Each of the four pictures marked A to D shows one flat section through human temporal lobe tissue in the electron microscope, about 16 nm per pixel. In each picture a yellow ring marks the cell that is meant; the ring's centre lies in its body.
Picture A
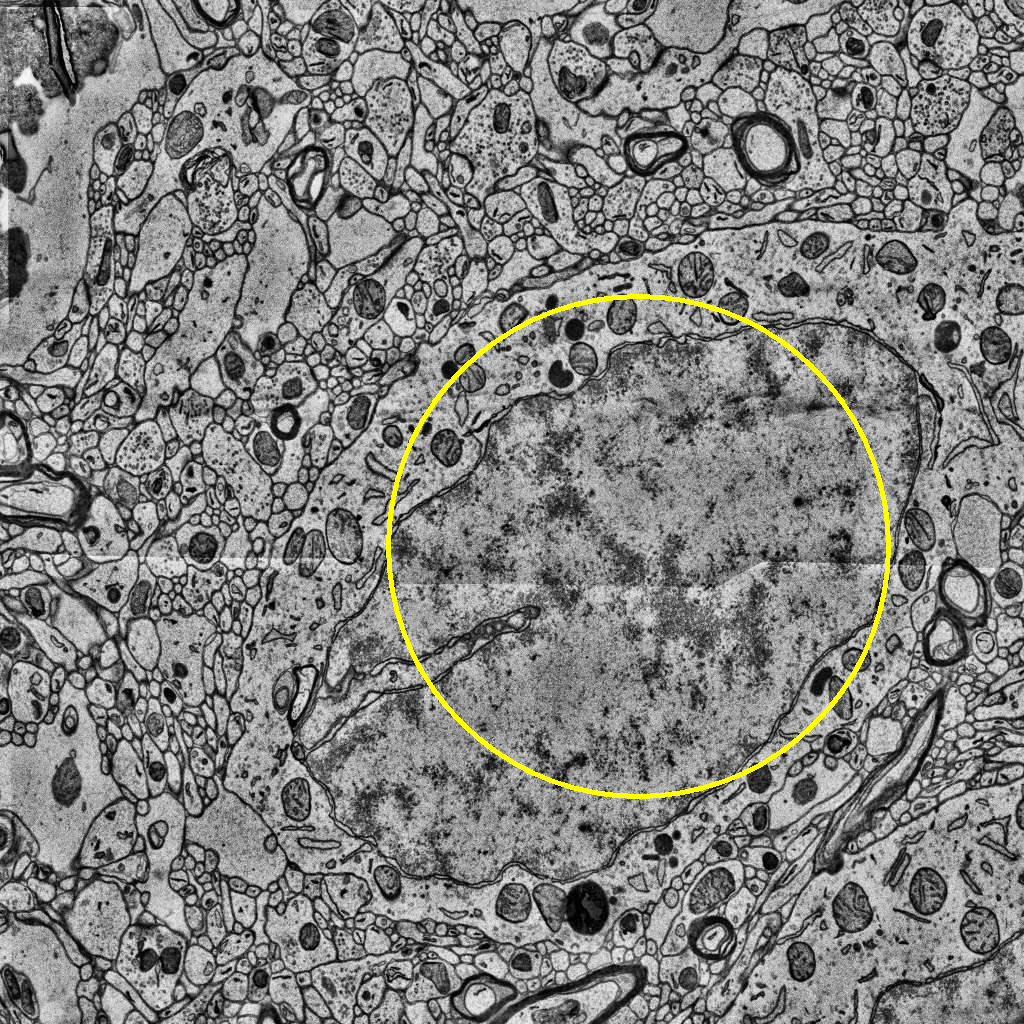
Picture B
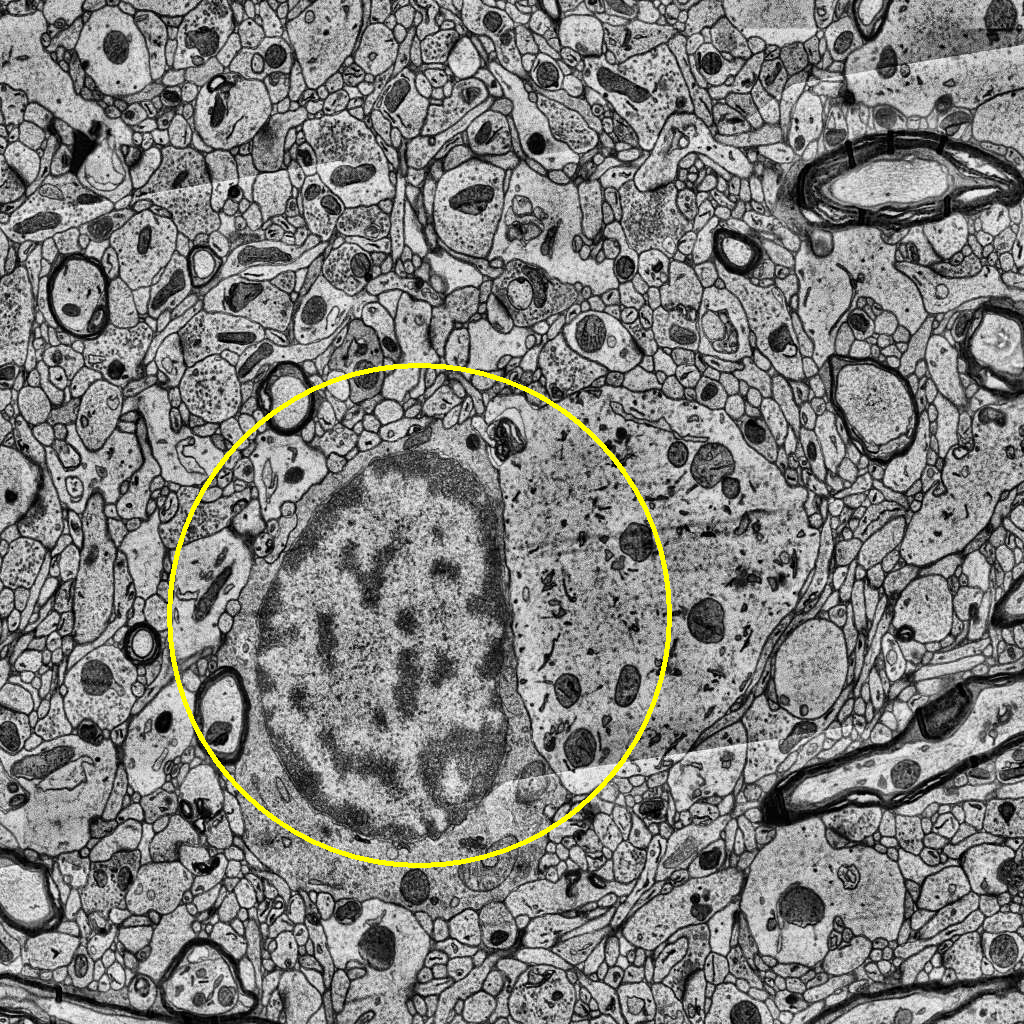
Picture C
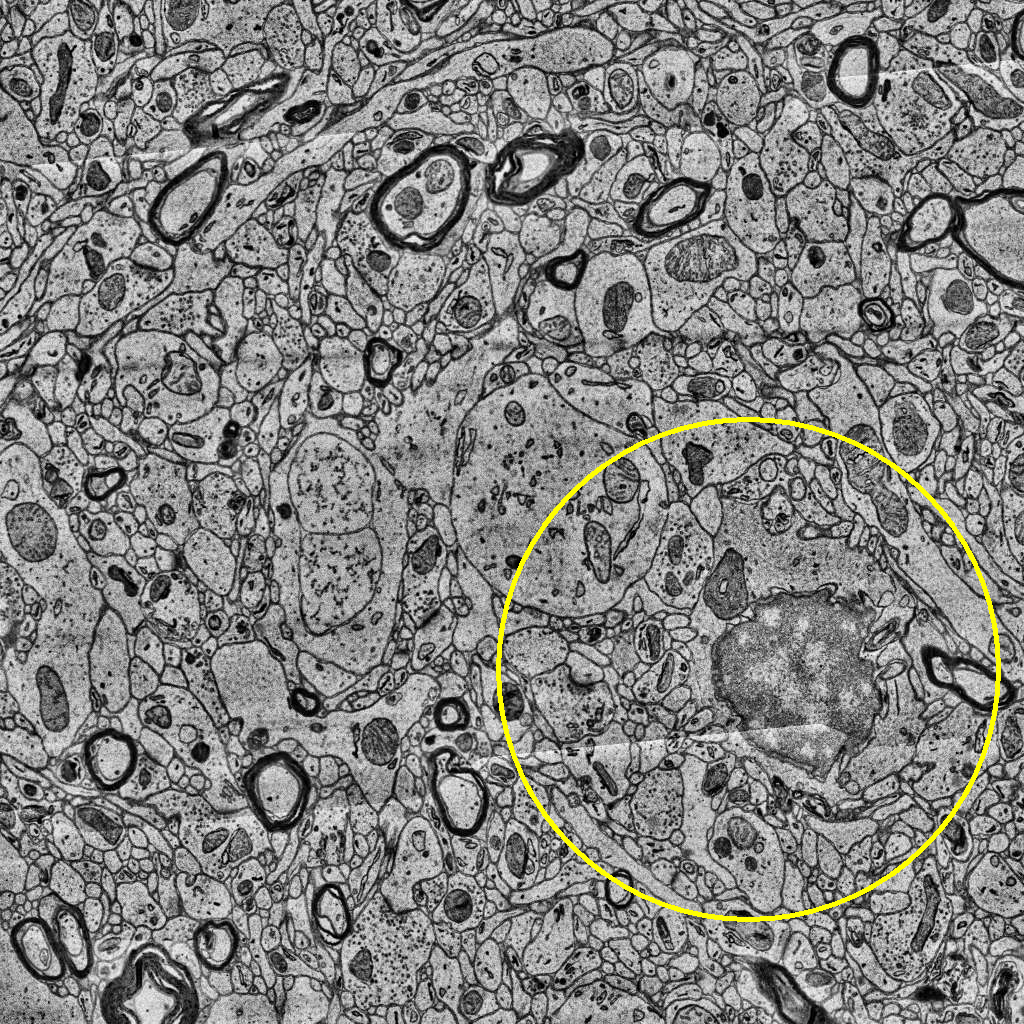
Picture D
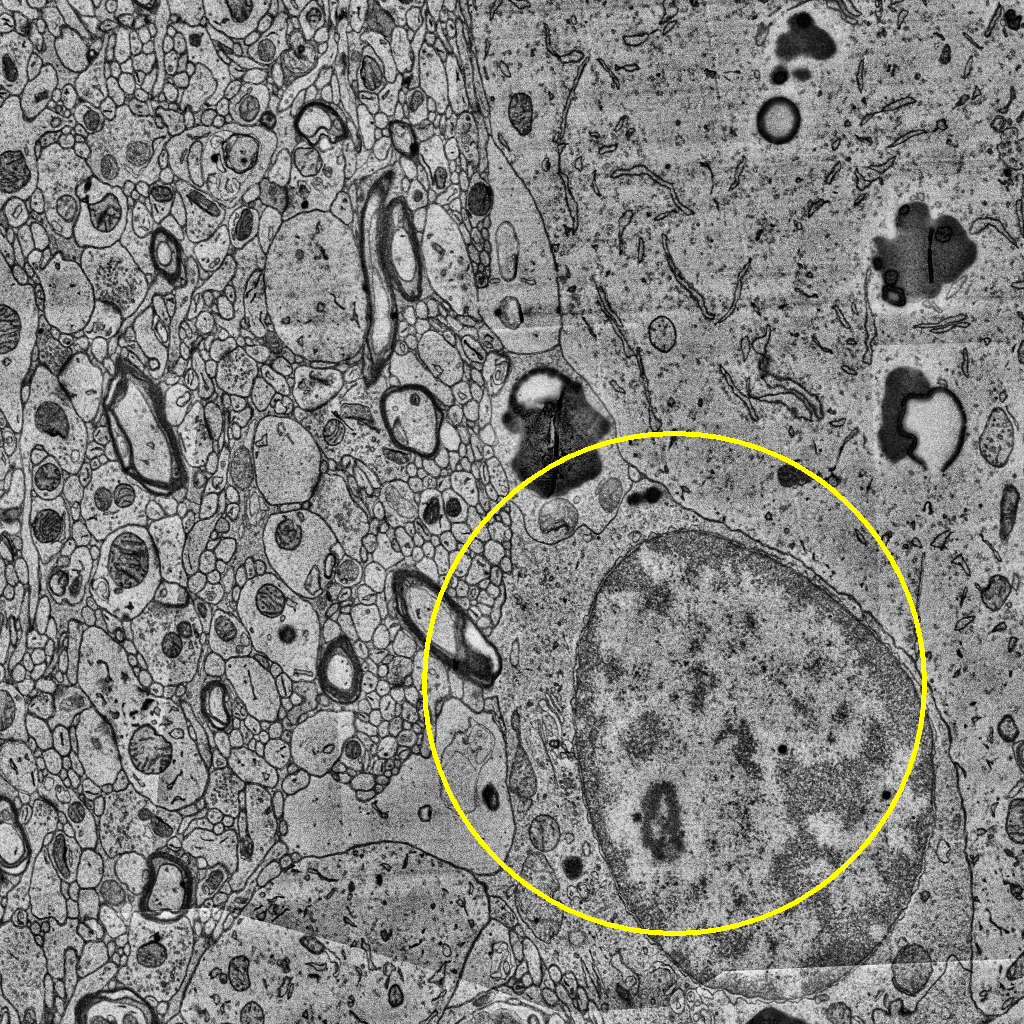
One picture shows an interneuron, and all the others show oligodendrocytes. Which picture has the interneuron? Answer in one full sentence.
The interneuron is the one in picture A.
